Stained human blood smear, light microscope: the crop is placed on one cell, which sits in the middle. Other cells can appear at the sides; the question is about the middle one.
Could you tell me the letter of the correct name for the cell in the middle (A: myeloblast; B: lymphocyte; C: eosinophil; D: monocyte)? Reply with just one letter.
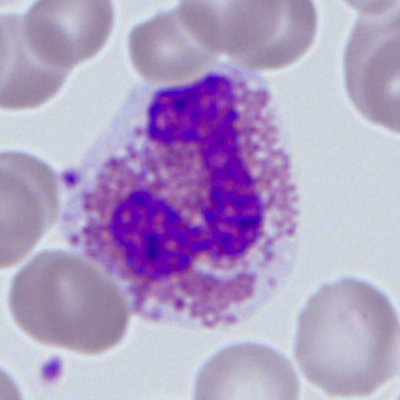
C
